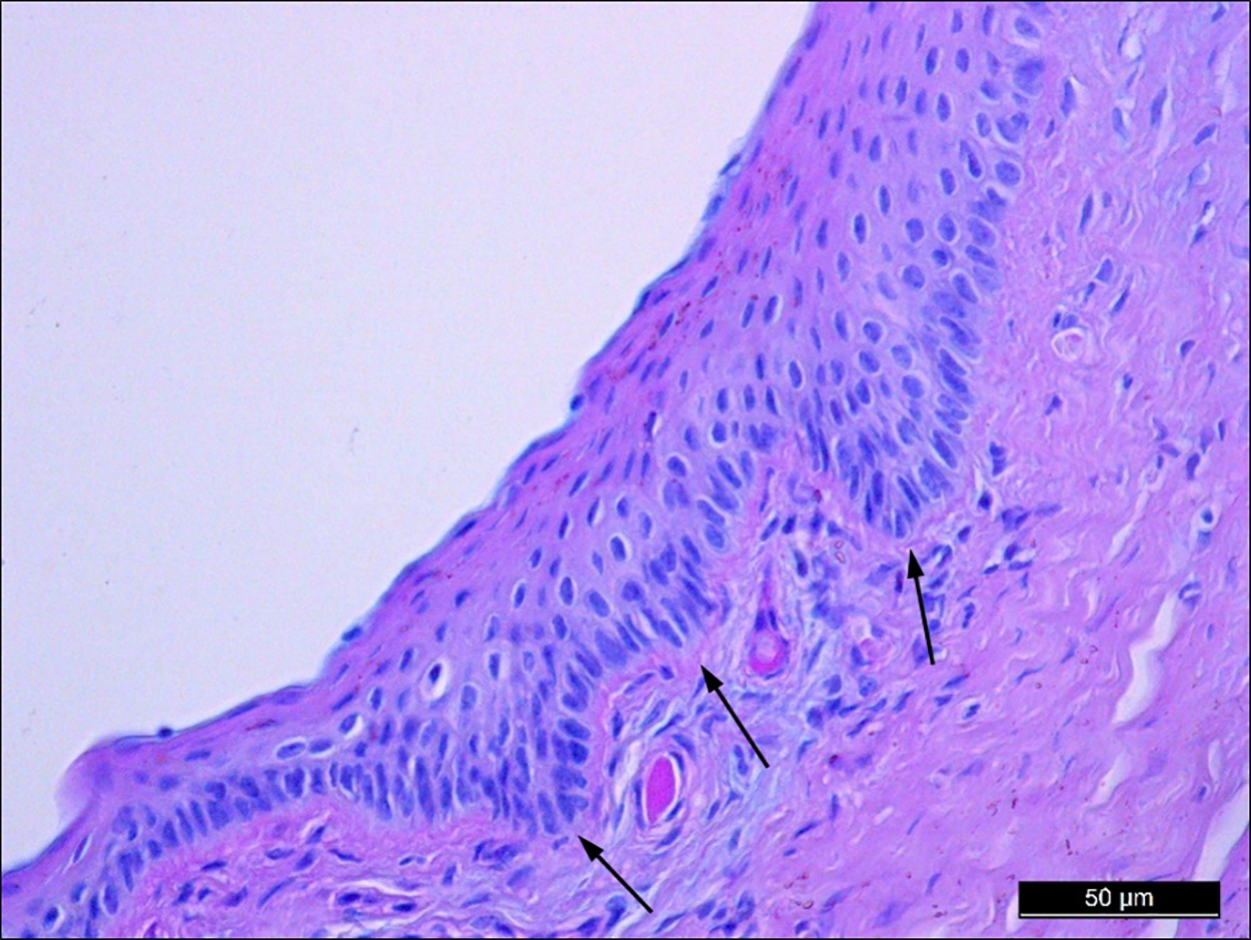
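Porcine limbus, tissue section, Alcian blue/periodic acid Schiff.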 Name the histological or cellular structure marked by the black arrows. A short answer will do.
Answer: Palisades of Vogt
